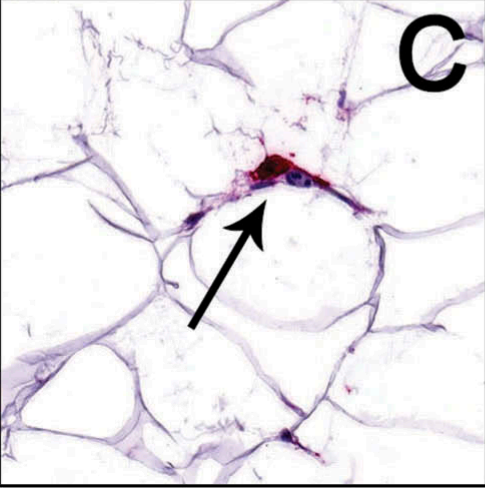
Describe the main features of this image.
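Large polygonal to rounded empty spaces of fat cells are bounded by thin purple membranes. Where several of these meet, a thickened strand of stroma holds a compact cell stained deep red, with blue-purple nuclei beside it. Fine loose fibrillar material and scattered small red specks lie around the thin walls nearby. Other septa are thin and carry only occasional flattened nuclei.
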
